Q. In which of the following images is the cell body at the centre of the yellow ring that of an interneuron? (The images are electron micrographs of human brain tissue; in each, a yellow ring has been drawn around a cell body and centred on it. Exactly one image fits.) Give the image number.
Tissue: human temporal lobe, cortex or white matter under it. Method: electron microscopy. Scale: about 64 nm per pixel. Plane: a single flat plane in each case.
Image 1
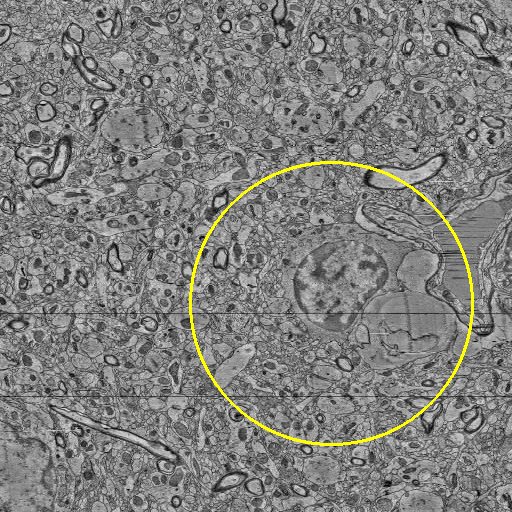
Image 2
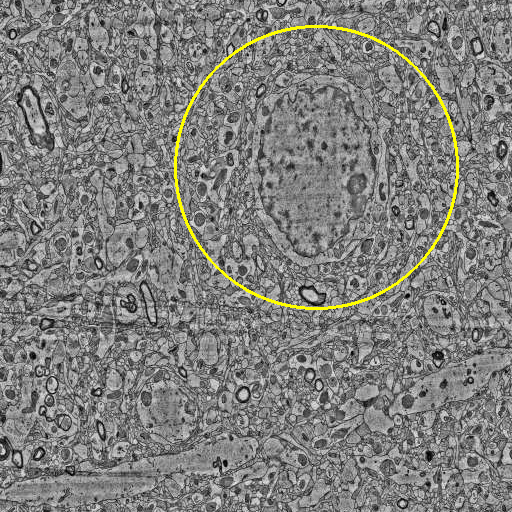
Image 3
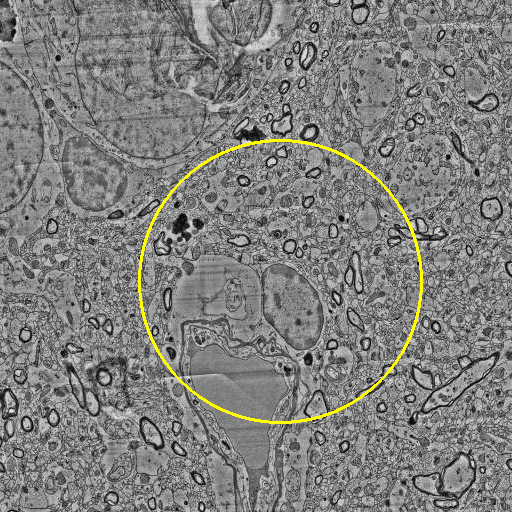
2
